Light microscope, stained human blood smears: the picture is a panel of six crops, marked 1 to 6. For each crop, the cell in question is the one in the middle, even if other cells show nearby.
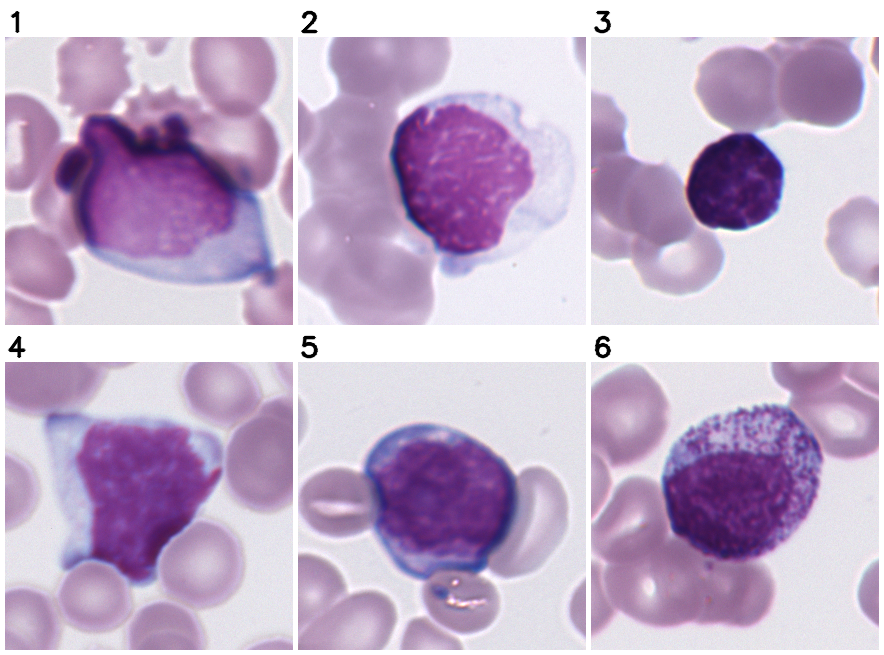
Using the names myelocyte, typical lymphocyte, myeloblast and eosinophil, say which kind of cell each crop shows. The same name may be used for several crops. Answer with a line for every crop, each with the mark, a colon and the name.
1: myeloblast
2: typical lymphocyte
3: typical lymphocyte
4: typical lymphocyte
5: myeloblast
6: myelocyte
